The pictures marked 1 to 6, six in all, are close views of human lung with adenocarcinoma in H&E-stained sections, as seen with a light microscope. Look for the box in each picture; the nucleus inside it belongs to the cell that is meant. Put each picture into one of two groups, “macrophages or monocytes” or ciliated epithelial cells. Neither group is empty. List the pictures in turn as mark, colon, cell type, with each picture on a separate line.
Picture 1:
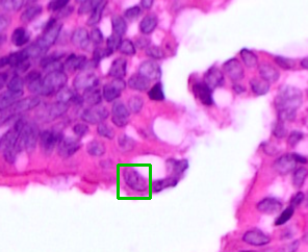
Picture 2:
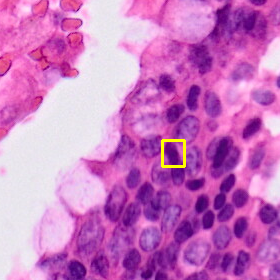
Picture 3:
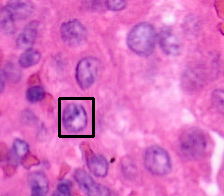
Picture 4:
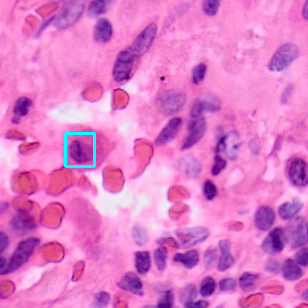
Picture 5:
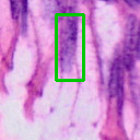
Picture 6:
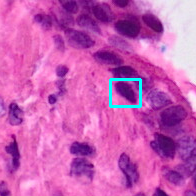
1: ciliated epithelial cell
2: ciliated epithelial cell
3: macrophage or monocyte
4: macrophage or monocyte
5: ciliated epithelial cell
6: ciliated epithelial cell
